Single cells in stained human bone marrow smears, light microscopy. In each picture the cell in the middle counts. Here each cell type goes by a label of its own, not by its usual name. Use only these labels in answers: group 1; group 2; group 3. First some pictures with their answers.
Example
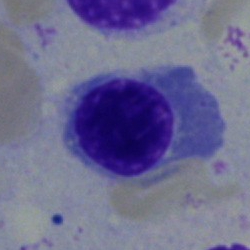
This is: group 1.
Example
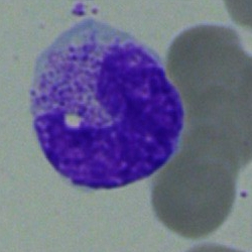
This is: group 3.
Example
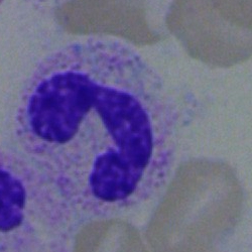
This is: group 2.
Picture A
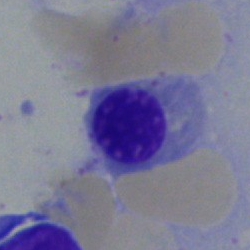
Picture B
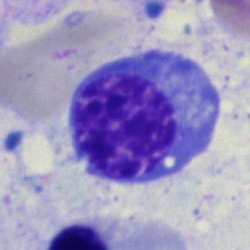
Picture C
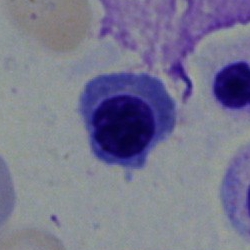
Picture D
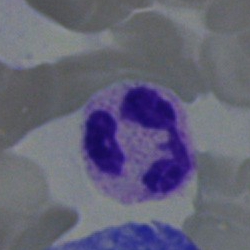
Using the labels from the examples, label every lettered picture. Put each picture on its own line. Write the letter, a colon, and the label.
A: group 1.
B: group 1.
C: group 1.
D: group 2.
